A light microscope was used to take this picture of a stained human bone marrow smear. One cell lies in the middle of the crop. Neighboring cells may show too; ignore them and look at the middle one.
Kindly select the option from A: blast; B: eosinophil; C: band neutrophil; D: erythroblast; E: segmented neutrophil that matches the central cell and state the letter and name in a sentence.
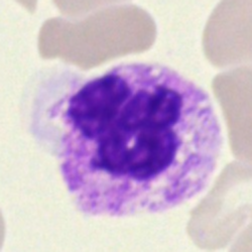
Option E is right in identifying the central cell as a segmented neutrophil.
